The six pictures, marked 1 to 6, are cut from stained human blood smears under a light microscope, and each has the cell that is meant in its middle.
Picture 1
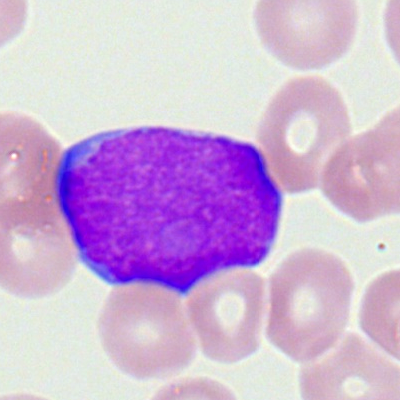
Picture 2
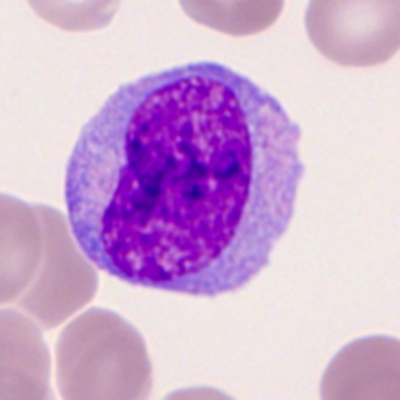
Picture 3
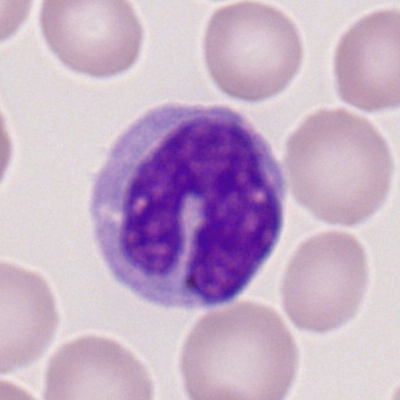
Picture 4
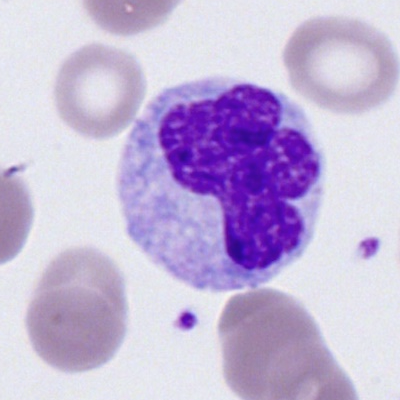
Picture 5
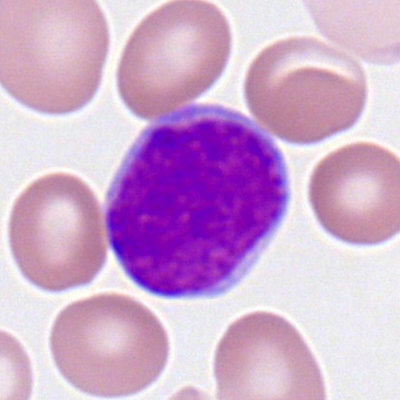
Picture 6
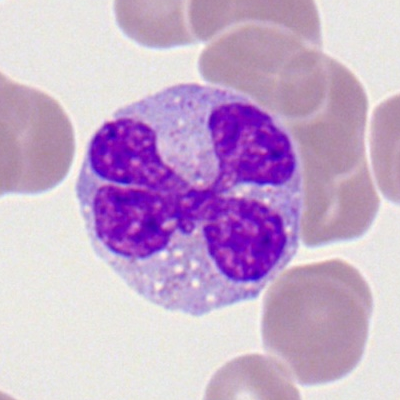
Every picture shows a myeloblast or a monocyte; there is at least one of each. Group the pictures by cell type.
1: myeloblast
2: monocyte
3: monocyte
4: monocyte
5: myeloblast
6: monocyte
